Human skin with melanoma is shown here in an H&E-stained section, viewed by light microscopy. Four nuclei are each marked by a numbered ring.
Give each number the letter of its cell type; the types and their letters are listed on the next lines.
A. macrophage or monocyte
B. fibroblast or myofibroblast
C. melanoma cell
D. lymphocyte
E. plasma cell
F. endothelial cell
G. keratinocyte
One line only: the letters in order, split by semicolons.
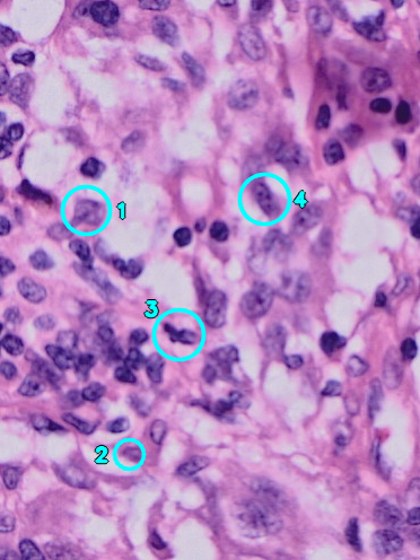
A; A; D; C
